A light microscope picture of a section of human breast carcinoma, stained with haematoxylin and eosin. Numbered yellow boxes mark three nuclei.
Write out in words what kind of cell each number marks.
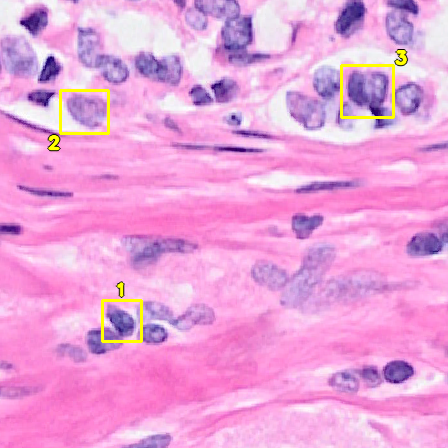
Cell 1 is a lymphocyte. Cells 2 and 3 are carcinoma cells.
